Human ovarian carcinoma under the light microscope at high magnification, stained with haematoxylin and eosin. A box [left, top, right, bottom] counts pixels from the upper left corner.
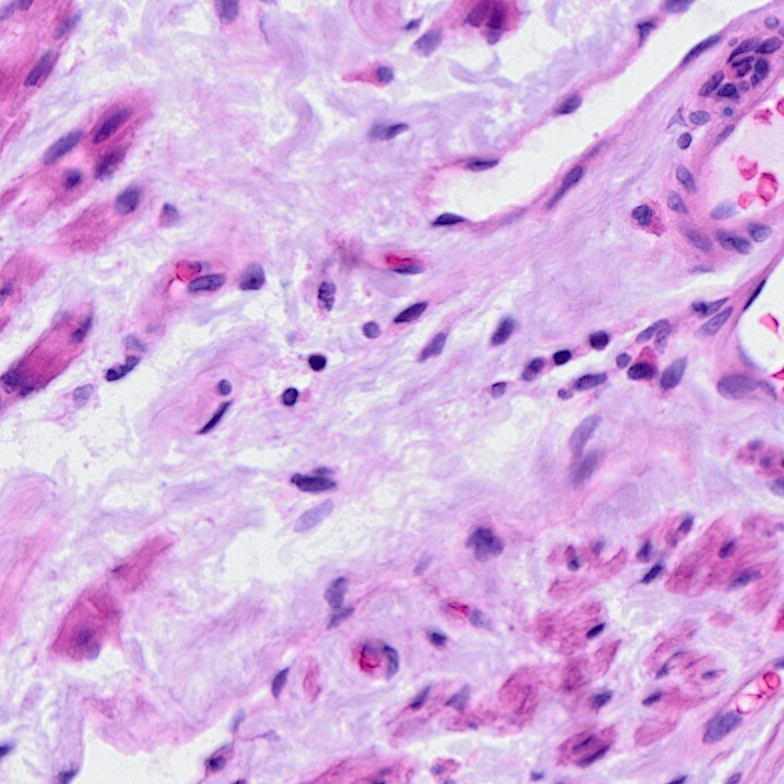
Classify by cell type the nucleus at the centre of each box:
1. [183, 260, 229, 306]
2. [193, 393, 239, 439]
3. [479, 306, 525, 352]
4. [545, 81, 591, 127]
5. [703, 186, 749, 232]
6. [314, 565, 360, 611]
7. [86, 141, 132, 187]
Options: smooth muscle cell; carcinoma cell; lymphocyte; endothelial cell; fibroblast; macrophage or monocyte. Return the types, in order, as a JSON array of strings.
["endothelial cell", "fibroblast", "fibroblast", "endothelial cell", "endothelial cell", "fibroblast", "smooth muscle cell"]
